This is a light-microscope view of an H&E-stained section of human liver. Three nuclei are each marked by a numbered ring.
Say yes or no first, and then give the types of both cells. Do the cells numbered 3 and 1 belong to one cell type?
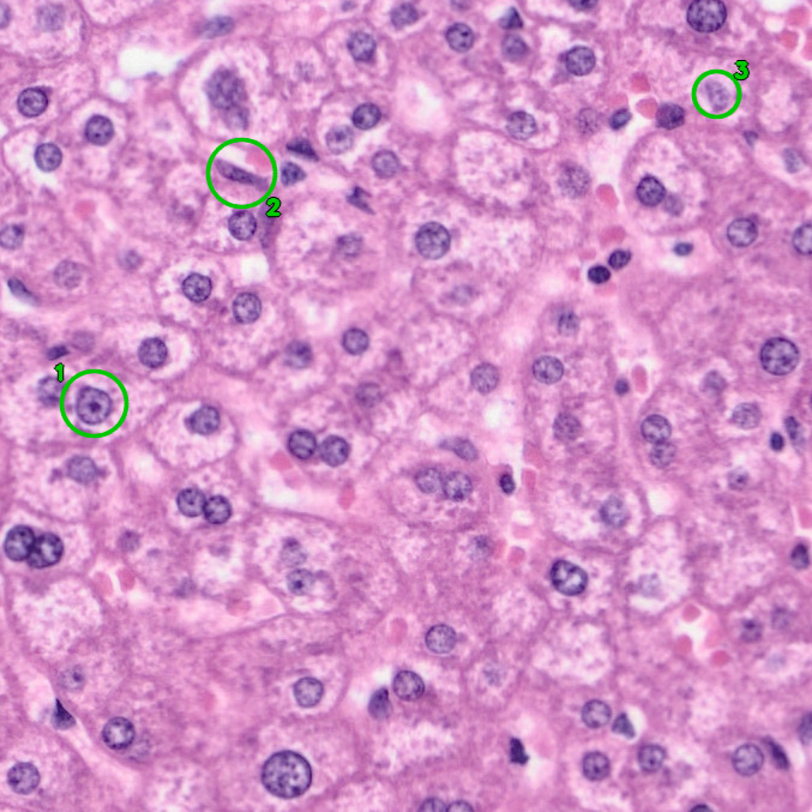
Yes, going by number, cells 3 and 1 are both hepatocytes.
